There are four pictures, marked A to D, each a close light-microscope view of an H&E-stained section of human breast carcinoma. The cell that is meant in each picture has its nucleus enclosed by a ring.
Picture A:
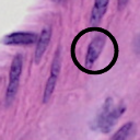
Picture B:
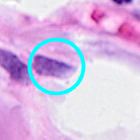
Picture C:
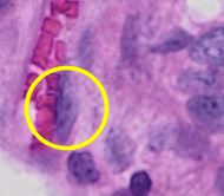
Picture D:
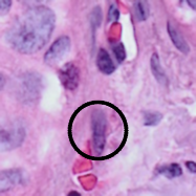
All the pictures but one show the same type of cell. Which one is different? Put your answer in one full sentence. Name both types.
The different one is picture B; it shows a fibroblast, whereas all the others show endothelial cells.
